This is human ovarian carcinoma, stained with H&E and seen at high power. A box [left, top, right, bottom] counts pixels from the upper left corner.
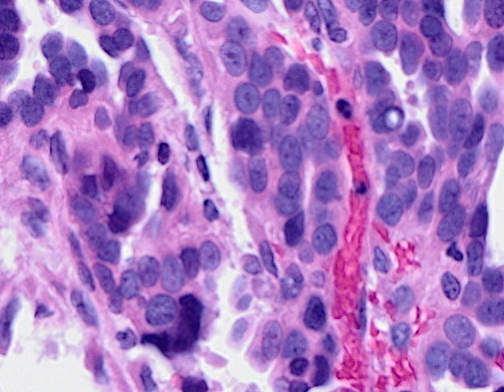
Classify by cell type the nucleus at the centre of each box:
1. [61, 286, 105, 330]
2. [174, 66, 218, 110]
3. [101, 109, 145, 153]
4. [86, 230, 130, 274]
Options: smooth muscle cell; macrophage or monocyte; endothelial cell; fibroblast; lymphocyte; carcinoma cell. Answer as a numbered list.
1. fibroblast
2. fibroblast
3. carcinoma cell
4. carcinoma cell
